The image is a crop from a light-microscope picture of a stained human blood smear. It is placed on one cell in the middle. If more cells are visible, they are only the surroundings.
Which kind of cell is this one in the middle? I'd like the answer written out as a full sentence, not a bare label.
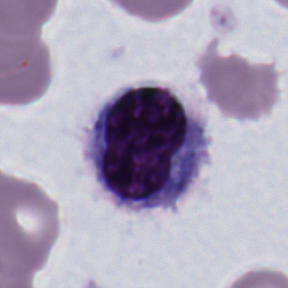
The central cell shown in this smear crop is a plasma cell.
